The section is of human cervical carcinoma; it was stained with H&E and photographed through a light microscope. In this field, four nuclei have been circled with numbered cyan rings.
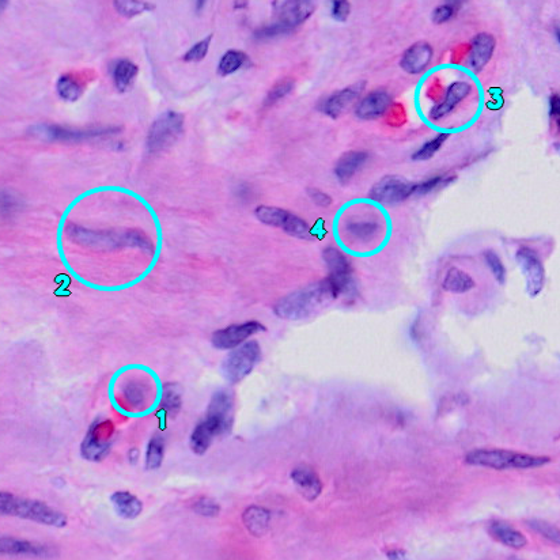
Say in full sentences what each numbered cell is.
Cells 1 and 3 are endothelial cells. Cell 2 is a smooth muscle cell. Cell 4 is a fibroblast.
